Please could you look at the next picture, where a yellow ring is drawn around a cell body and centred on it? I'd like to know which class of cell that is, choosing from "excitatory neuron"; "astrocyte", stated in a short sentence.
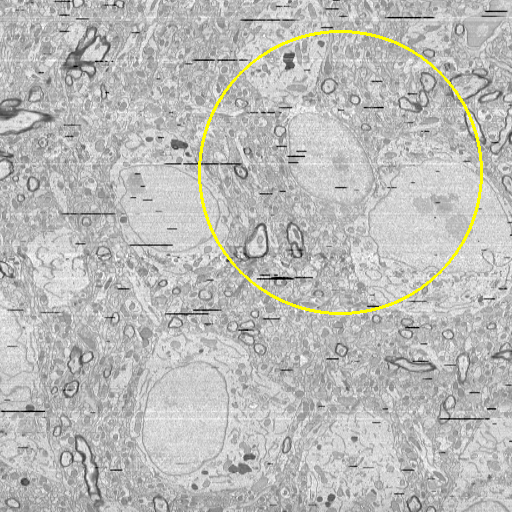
The ring's centre lies on an astrocyte.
